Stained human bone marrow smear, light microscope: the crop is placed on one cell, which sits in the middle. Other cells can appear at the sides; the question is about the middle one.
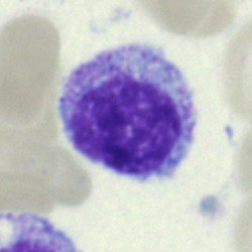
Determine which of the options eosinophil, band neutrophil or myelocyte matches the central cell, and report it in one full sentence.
As for the cell in the middle, it is a myelocyte.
